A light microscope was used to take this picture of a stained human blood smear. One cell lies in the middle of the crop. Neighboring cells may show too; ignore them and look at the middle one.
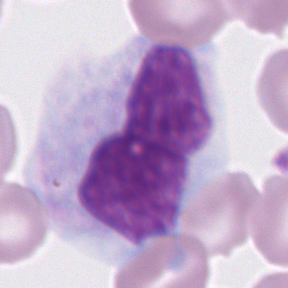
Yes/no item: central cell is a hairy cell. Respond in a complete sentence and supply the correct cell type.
No, calling it a hairy cell is wrong; the middle cell is a monocyte.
